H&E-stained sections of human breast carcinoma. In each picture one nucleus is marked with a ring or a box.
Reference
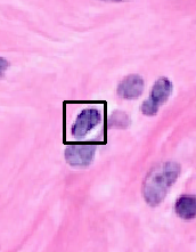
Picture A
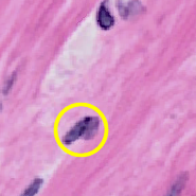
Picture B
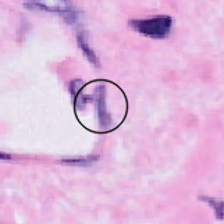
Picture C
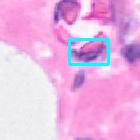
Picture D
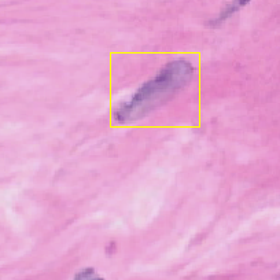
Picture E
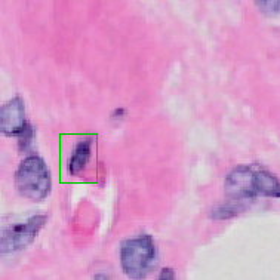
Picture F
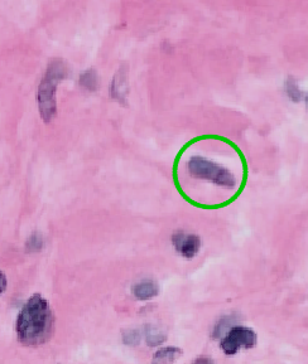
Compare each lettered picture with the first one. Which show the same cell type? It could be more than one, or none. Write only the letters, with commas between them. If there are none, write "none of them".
A, F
